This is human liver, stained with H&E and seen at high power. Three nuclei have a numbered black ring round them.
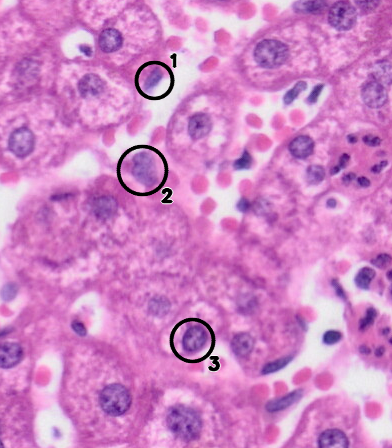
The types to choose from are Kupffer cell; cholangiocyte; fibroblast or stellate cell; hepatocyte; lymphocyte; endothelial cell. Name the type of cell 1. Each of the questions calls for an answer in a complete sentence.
The cell pointed out by number 1 is an endothelial cell.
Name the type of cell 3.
Cell 3 in the field is a hepatocyte.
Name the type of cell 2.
Cell 2 in the field of view is a Kupffer cell.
